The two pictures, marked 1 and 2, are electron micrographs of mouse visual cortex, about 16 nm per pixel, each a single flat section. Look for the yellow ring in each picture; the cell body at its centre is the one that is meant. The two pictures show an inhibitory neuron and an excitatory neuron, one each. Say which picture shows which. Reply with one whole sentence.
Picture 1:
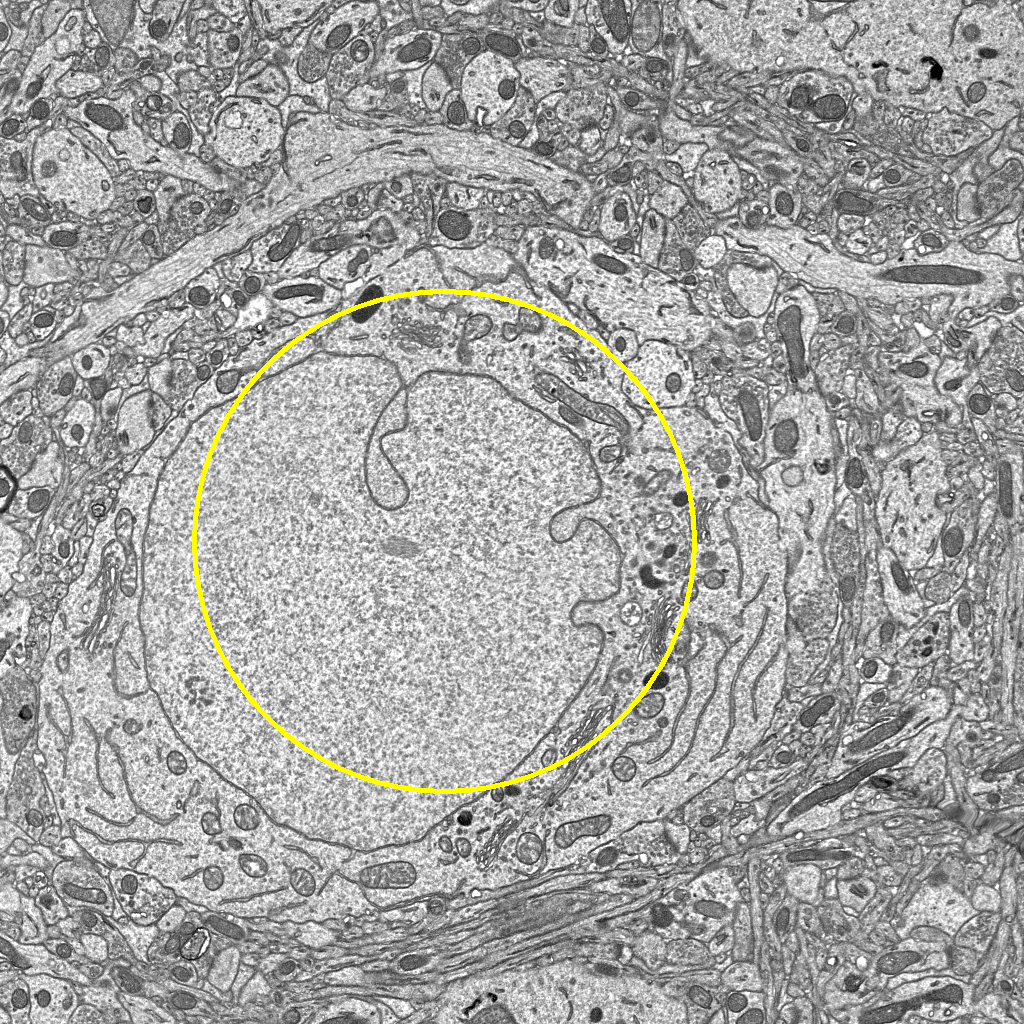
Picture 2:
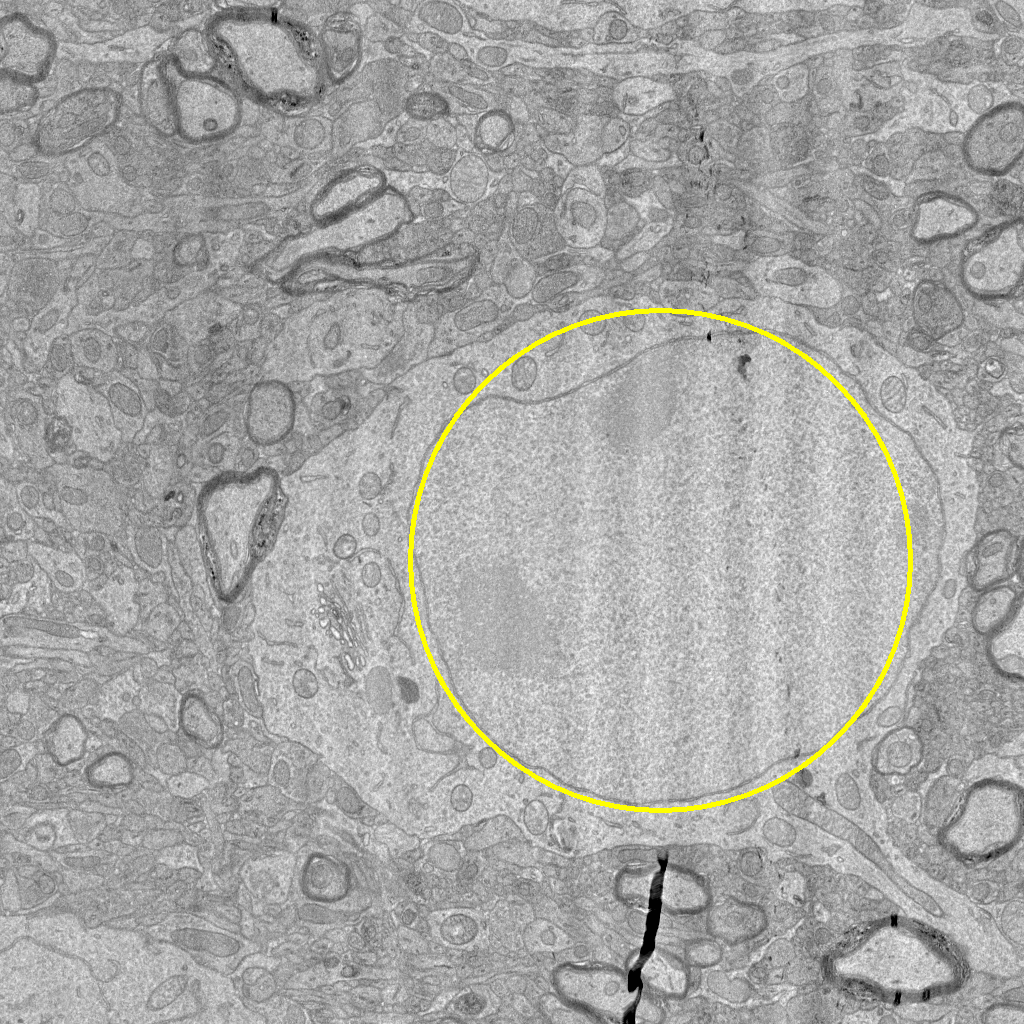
It is picture 1 that shows an inhibitory neuron, and picture 2 that shows an excitatory neuron.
